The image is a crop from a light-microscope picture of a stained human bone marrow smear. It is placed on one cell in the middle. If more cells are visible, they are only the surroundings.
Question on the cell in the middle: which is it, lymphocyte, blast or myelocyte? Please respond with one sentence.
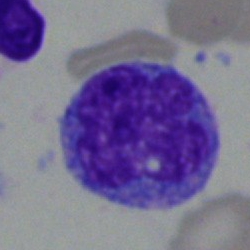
On this slide crop, the central cell is a blast.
